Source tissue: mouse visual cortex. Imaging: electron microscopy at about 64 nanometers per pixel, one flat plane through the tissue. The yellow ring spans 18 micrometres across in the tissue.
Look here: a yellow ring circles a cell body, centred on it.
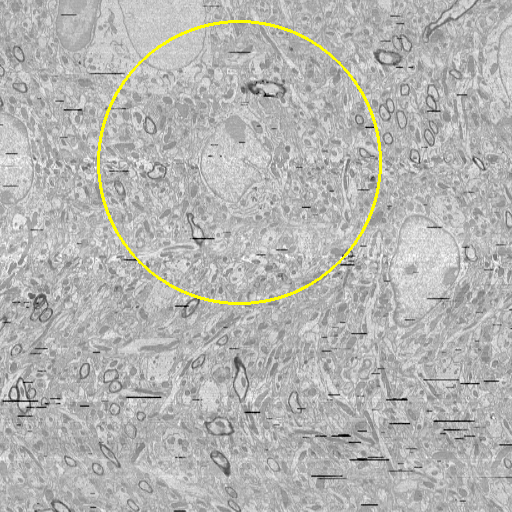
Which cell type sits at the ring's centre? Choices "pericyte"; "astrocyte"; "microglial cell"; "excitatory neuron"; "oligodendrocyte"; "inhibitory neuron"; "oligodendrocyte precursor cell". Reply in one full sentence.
The cell at the centre of the yellow ring in the picture is an oligodendrocyte precursor cell.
